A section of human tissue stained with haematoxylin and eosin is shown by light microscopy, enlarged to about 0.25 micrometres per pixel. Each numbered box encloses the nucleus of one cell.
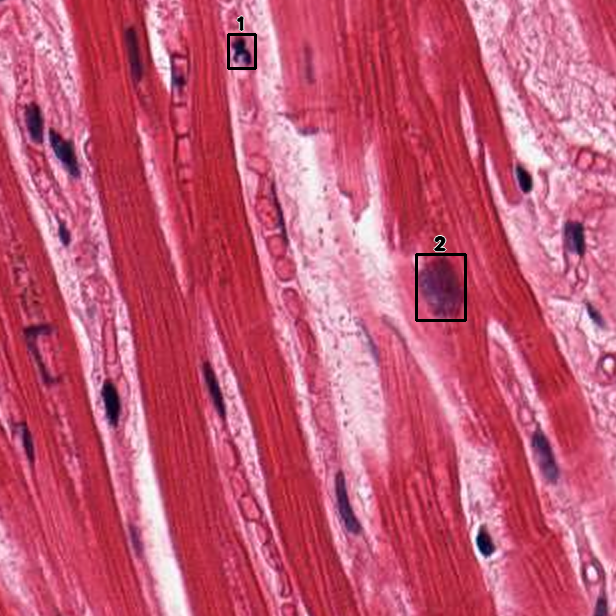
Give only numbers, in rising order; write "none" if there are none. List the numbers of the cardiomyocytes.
2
